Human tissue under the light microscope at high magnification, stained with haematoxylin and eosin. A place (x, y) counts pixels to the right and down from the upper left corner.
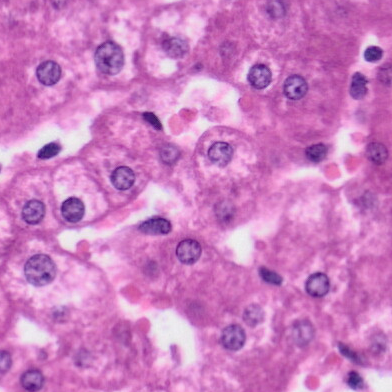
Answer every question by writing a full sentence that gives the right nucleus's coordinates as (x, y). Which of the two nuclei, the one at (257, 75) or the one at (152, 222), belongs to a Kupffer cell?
The nucleus found at (152, 222) belongs to a Kupffer cell.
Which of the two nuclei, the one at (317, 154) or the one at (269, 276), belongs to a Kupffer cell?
The pair contains one nucleus of a Kupffer cell, namely the one at (317, 154).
